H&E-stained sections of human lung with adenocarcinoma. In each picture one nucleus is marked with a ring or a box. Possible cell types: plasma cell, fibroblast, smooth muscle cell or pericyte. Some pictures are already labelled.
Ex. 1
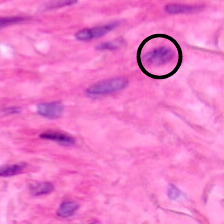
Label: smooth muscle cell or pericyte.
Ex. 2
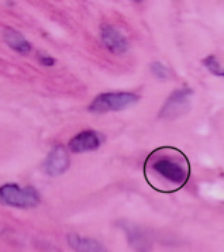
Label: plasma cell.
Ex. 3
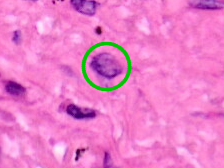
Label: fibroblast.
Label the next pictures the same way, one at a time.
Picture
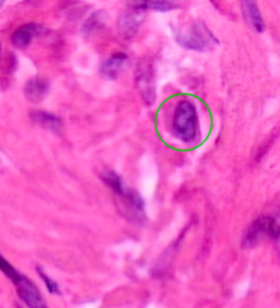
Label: plasma cell.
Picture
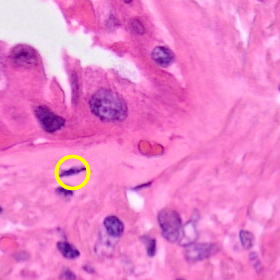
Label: fibroblast.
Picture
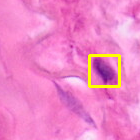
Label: smooth muscle cell or pericyte.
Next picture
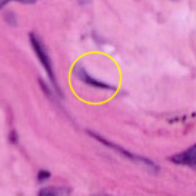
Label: fibroblast.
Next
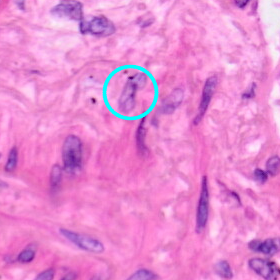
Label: fibroblast.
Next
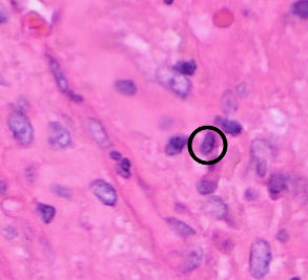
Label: plasma cell.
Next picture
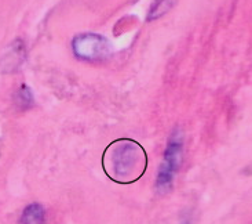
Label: fibroblast.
